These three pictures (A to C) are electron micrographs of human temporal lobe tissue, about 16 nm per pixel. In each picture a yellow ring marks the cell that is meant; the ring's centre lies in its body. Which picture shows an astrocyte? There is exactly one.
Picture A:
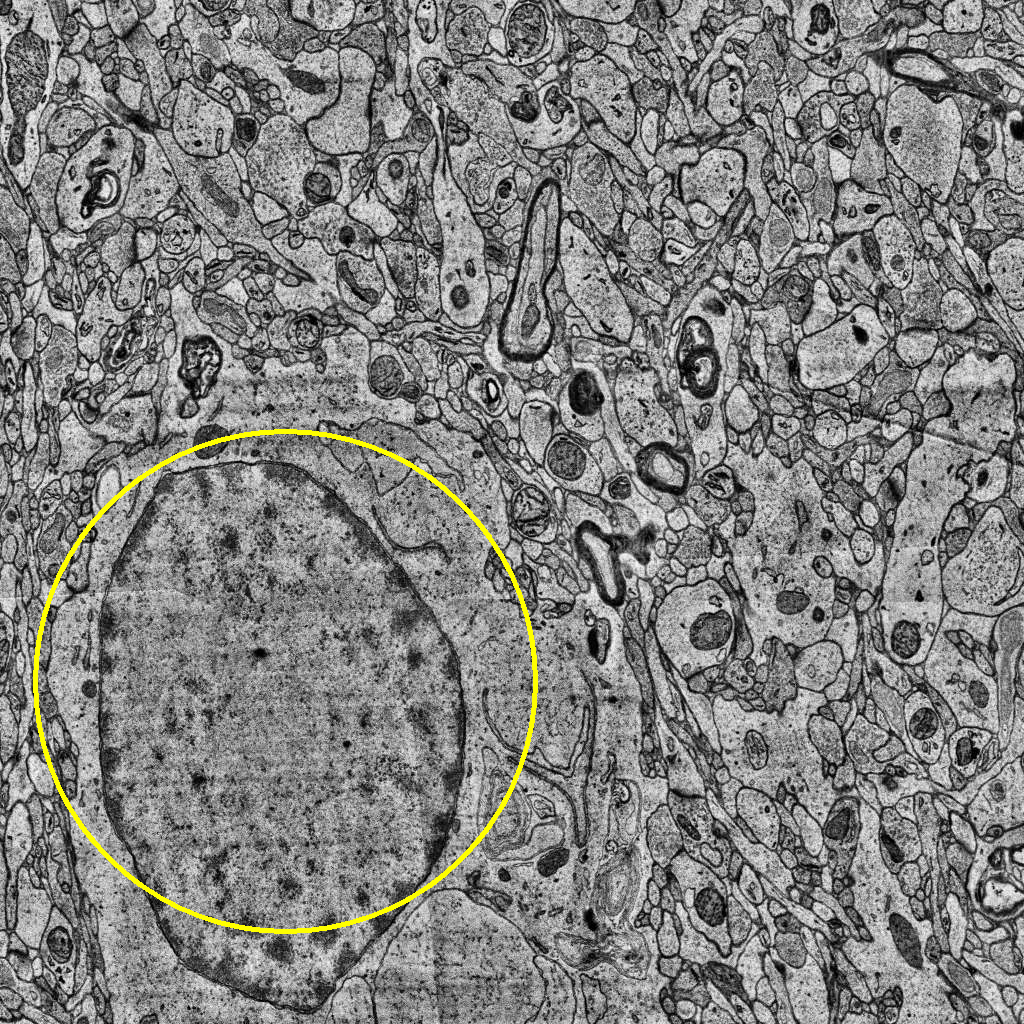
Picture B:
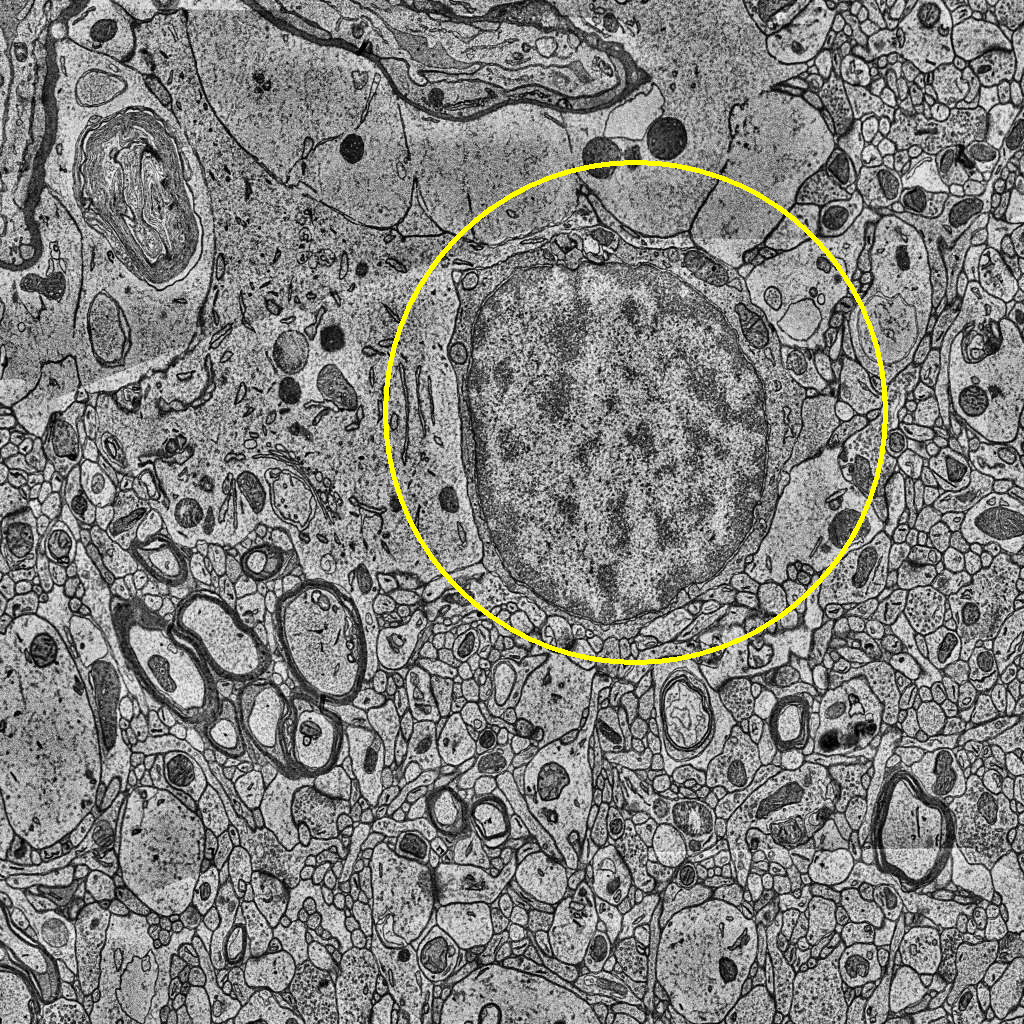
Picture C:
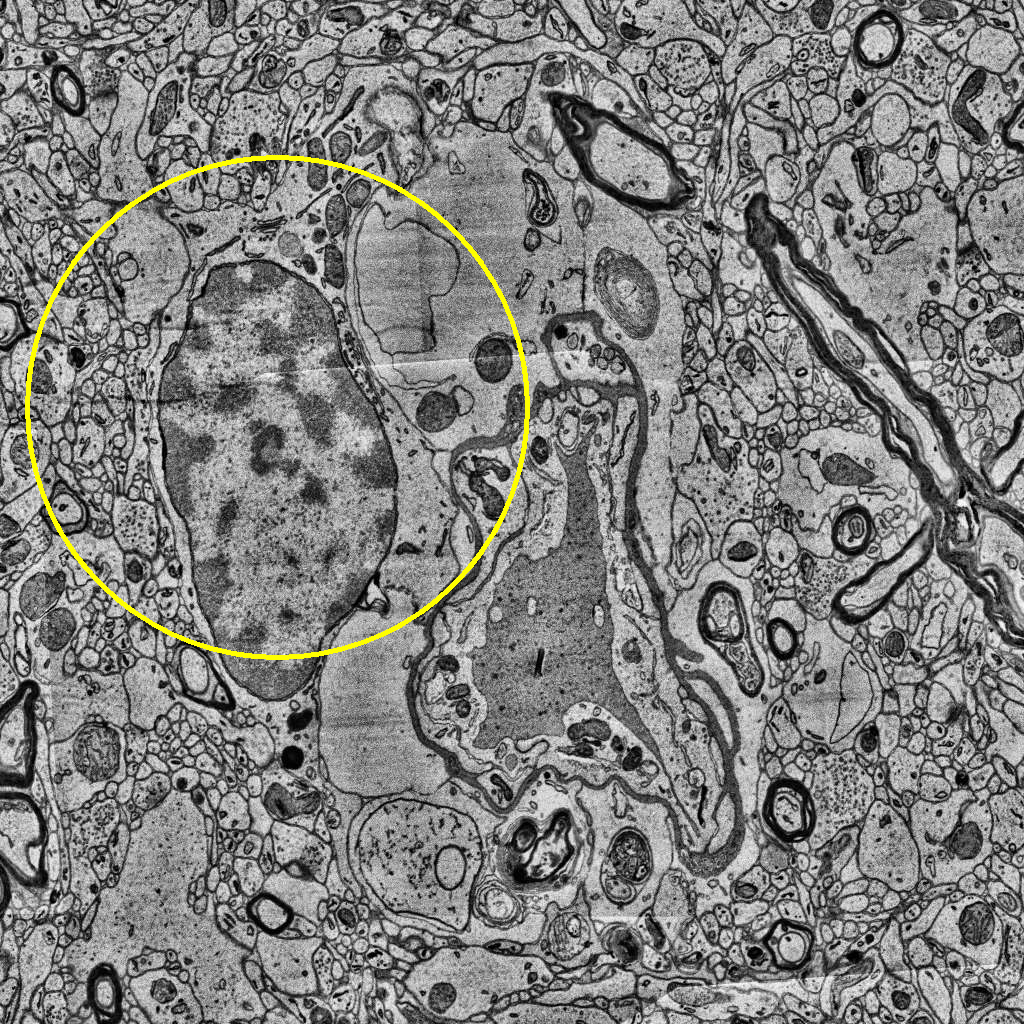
Picture A is the one that shows the astrocyte.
